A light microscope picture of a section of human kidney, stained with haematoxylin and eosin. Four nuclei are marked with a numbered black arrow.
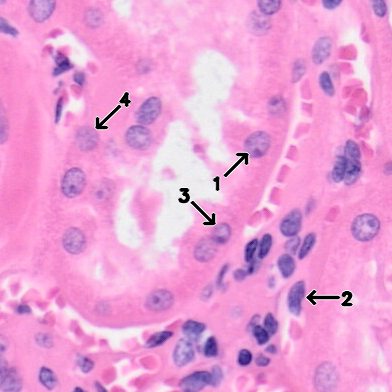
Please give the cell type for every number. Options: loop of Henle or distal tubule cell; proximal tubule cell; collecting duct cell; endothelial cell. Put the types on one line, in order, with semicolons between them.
proximal tubule cell; endothelial cell; proximal tubule cell; proximal tubule cell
